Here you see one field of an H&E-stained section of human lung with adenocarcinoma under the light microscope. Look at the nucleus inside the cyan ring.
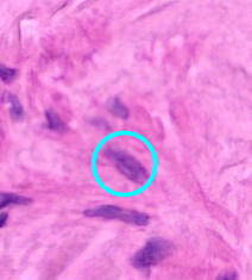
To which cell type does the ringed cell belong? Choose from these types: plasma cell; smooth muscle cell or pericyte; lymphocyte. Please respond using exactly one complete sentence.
In this tissue section, the ringed cell is to be classed as a smooth muscle cell or pericyte.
